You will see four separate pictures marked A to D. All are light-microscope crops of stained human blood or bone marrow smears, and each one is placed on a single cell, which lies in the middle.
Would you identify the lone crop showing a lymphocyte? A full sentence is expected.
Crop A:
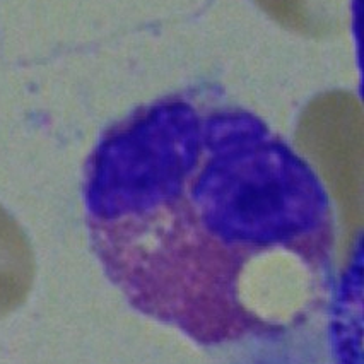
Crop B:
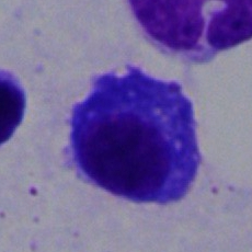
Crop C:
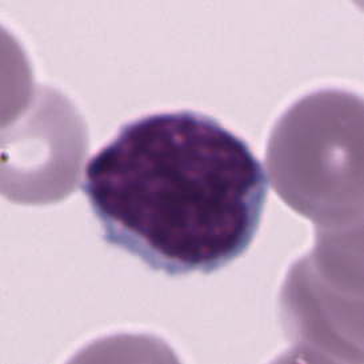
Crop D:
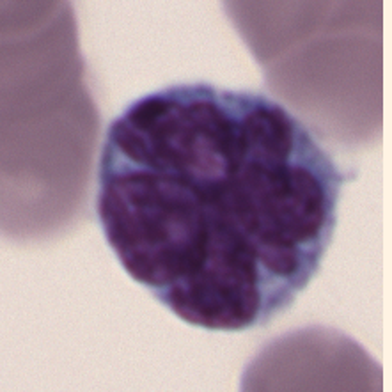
Crop C is the crop that shows a lymphocyte in its middle.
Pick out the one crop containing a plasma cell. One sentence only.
As for which crop shows a plasma cell, it is crop B.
